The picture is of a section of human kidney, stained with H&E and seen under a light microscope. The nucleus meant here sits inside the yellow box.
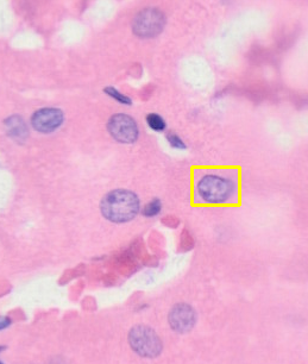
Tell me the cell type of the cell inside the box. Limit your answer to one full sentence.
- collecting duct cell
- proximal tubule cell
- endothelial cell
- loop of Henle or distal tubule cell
The expected answer is simply that the cell inside the box is a proximal tubule cell.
